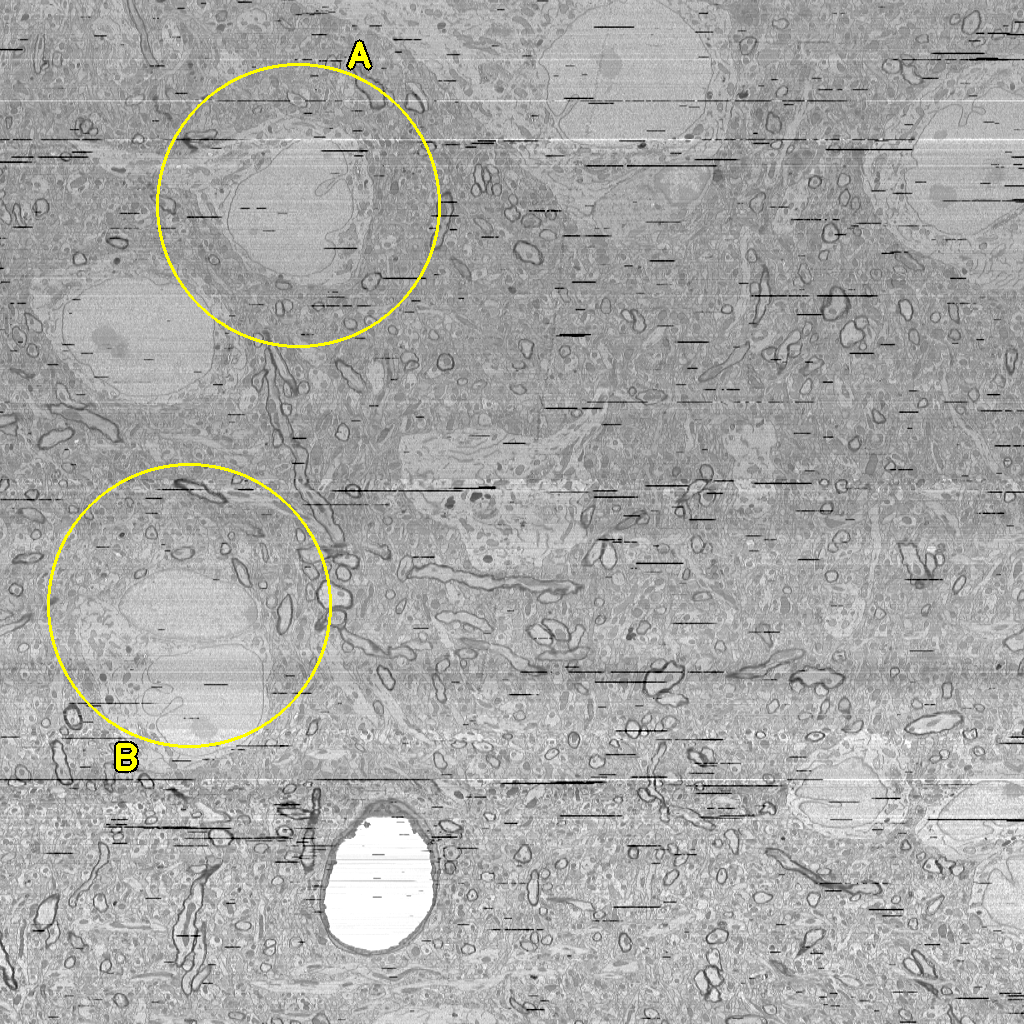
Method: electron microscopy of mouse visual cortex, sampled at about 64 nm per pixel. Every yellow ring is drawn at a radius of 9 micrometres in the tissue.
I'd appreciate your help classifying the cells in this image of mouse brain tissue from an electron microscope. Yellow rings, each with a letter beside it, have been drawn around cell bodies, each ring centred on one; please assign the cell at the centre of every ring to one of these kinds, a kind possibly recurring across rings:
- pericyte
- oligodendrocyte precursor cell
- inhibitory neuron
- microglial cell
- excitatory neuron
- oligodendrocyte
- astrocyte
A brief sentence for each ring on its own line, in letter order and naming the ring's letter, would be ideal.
In ring A, the central cell is an excitatory neuron.
In ring B, the central cell is an astrocyte.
